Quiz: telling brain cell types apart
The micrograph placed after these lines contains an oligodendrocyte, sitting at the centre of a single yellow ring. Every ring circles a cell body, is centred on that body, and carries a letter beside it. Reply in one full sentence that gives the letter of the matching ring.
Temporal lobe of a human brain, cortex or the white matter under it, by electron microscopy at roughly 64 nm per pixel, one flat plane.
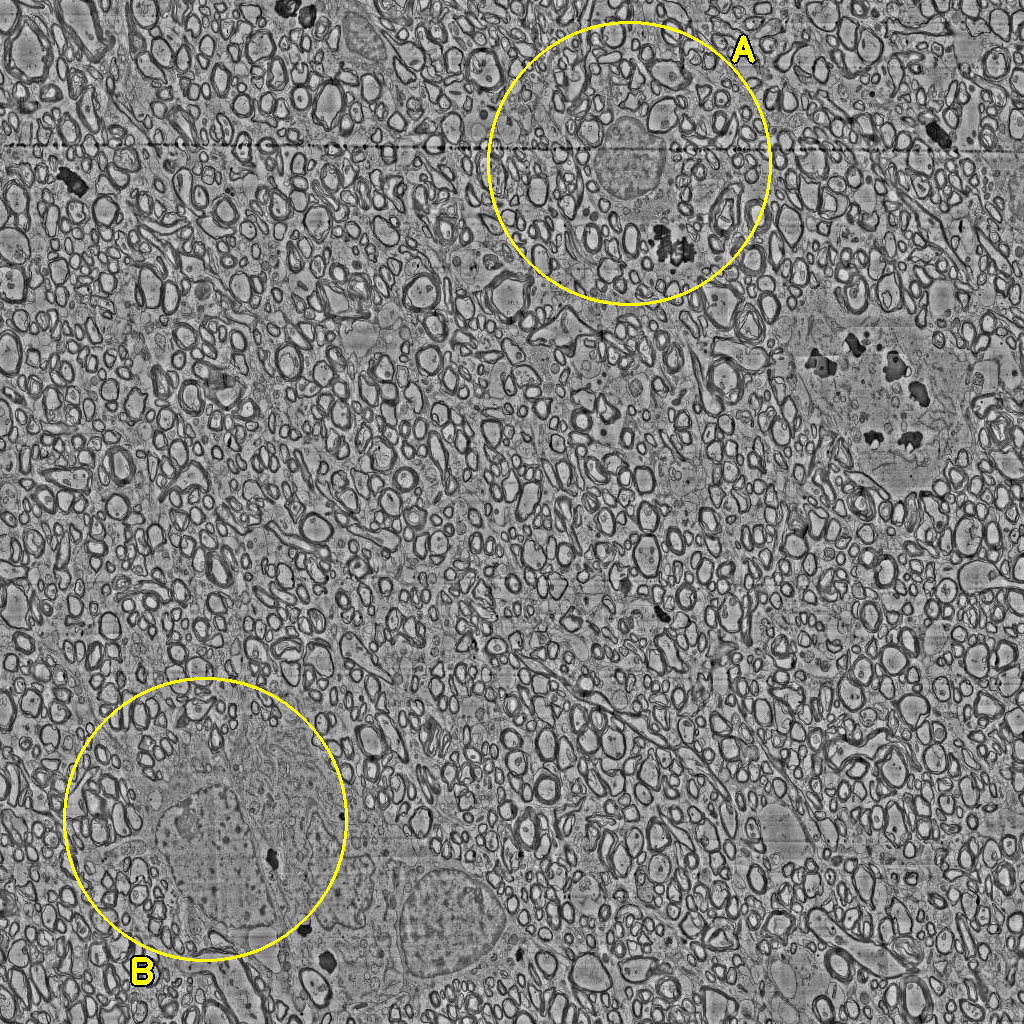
The cell asked for lies at the centre of ring A in the picture.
